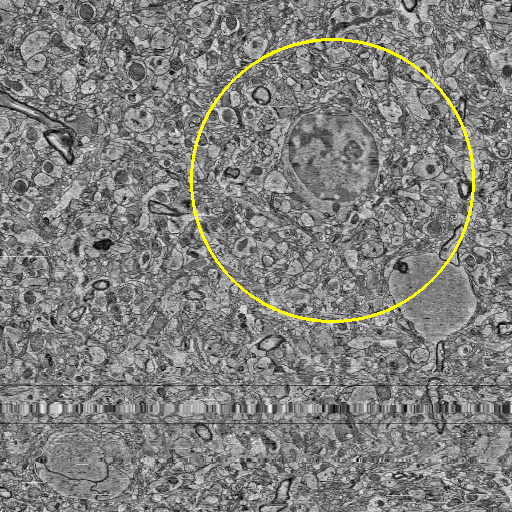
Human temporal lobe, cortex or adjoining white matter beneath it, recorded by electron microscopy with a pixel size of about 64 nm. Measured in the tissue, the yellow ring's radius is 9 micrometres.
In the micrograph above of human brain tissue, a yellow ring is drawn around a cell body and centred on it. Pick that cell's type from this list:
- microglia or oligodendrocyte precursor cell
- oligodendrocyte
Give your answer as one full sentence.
Going by the list, an oligodendrocyte is the cell on which the yellow ring is centred.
